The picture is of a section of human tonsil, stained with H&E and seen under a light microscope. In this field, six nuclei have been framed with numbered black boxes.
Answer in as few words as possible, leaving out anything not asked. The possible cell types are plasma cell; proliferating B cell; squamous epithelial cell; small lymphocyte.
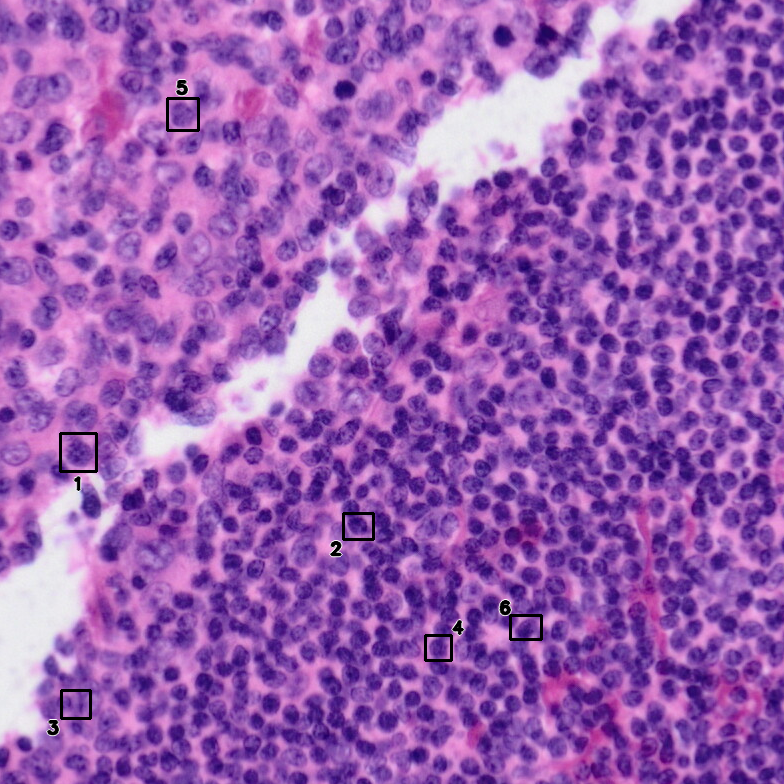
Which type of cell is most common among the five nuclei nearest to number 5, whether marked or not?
proliferating B cell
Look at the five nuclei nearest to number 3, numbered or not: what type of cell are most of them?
proliferating B cell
